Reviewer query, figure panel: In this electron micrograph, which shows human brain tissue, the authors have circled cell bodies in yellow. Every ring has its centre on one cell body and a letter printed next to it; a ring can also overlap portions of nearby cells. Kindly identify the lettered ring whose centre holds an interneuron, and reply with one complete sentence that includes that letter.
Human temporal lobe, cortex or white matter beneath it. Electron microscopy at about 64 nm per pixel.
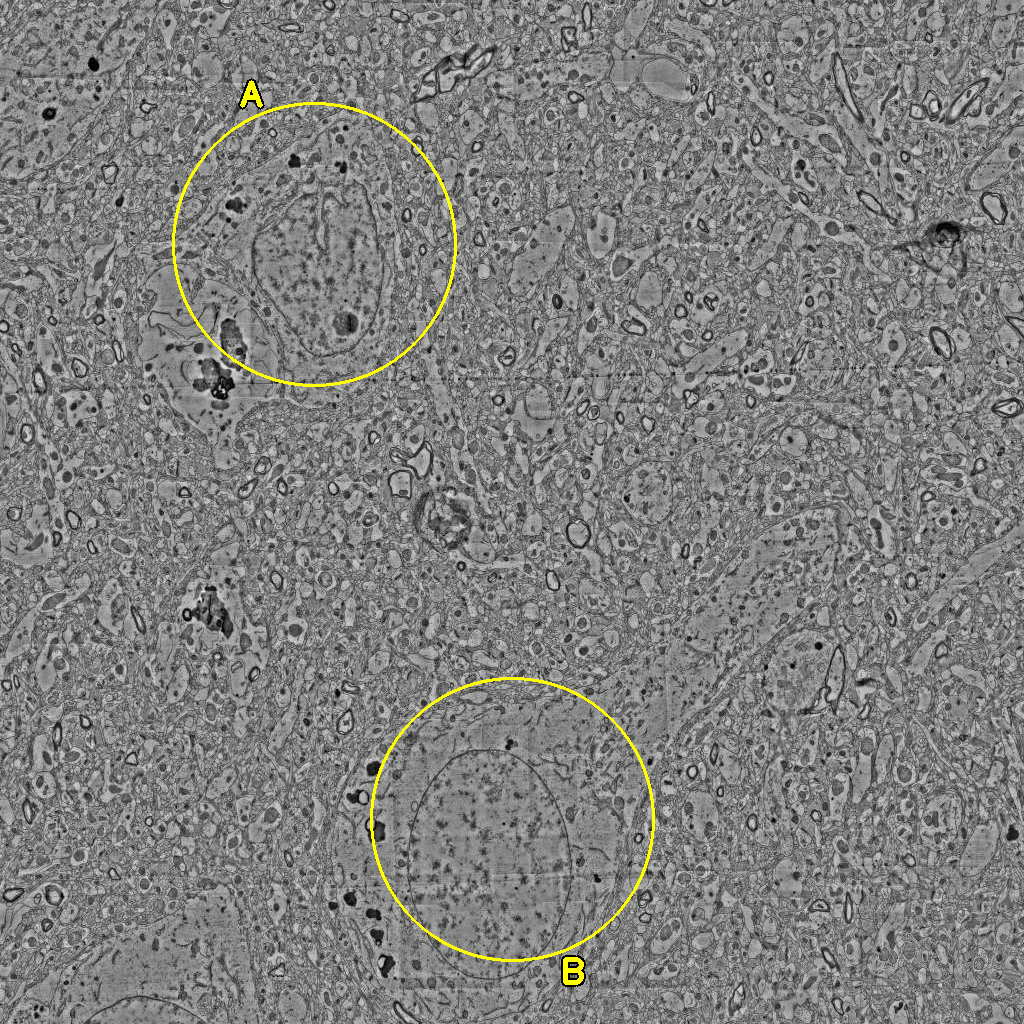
In this figure panel, the ring labelled A has the cell asked for at its centre.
